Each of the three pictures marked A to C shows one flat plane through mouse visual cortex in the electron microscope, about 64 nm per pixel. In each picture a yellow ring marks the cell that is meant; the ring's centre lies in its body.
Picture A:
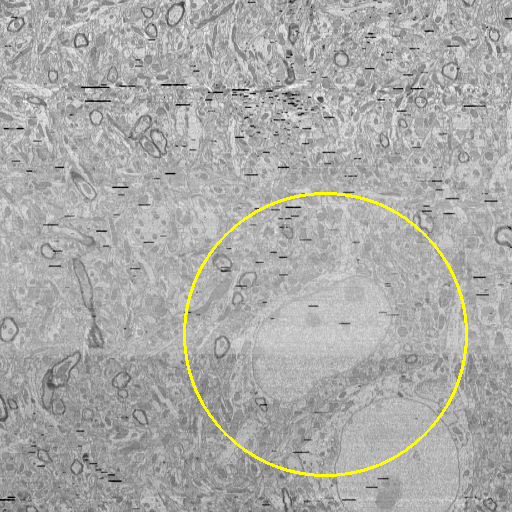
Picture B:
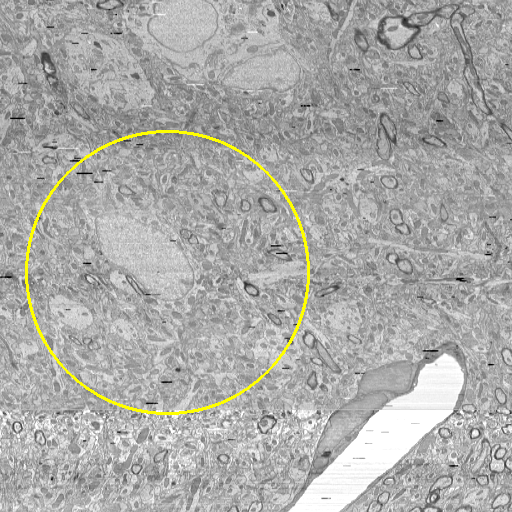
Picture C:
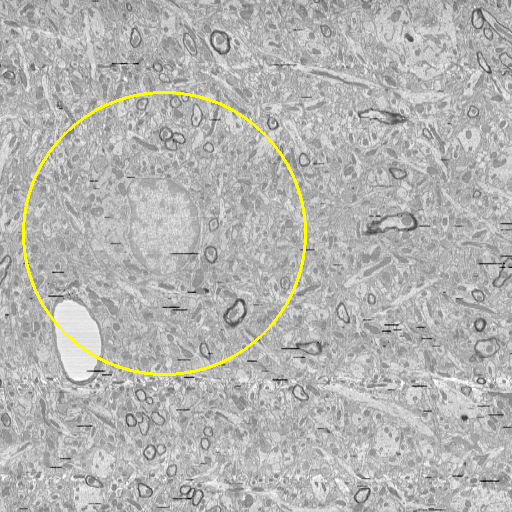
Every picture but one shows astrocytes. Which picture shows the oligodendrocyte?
The oligodendrocyte is the one in picture C.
